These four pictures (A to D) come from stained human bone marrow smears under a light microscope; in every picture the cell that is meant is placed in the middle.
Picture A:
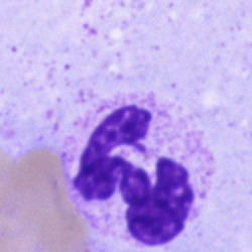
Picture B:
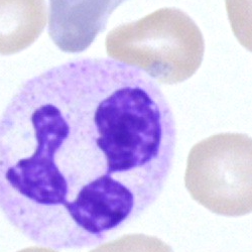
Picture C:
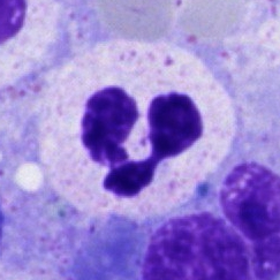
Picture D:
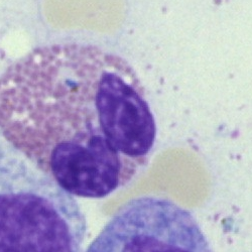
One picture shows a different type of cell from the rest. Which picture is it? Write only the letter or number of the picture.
D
